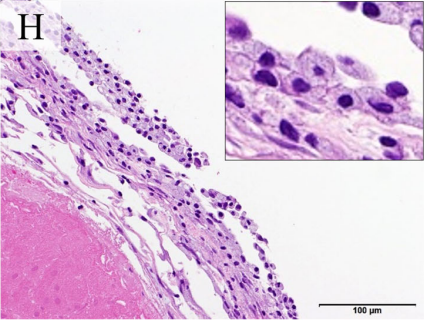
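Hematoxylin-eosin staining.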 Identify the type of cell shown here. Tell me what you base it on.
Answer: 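Rounded cells with pale, finely vacuolated cytoplasm and small dark nuclei. The cells line strands separated by clear slit-like spaces.
Hence: foam cells.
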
